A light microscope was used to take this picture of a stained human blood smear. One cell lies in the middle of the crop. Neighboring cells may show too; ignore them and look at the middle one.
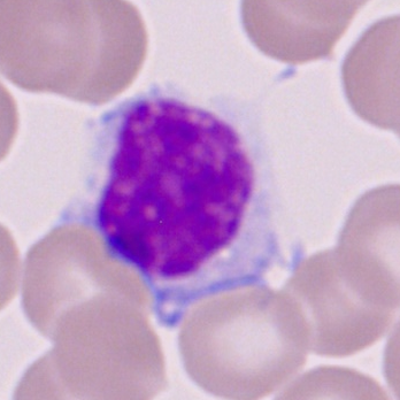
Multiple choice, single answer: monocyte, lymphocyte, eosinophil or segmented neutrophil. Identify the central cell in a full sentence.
Of the cells in this crop, the central one is a lymphocyte.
